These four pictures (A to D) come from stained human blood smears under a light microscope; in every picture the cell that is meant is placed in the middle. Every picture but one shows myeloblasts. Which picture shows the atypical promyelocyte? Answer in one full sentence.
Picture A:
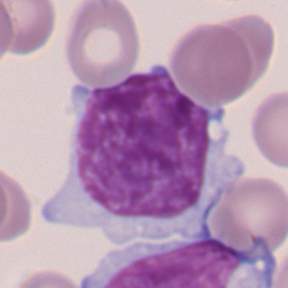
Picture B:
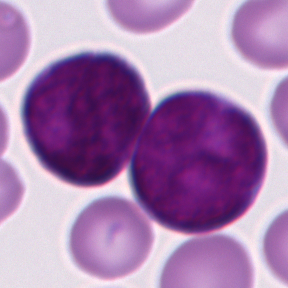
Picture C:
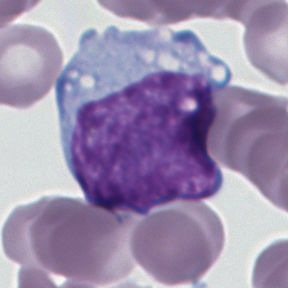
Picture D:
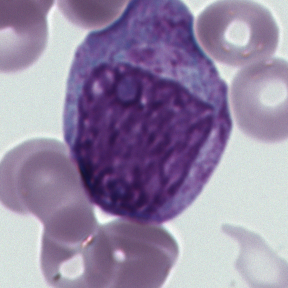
The cell in picture D is the atypical promyelocyte.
